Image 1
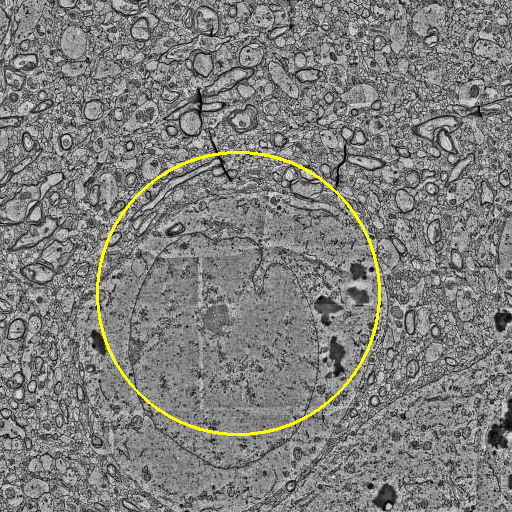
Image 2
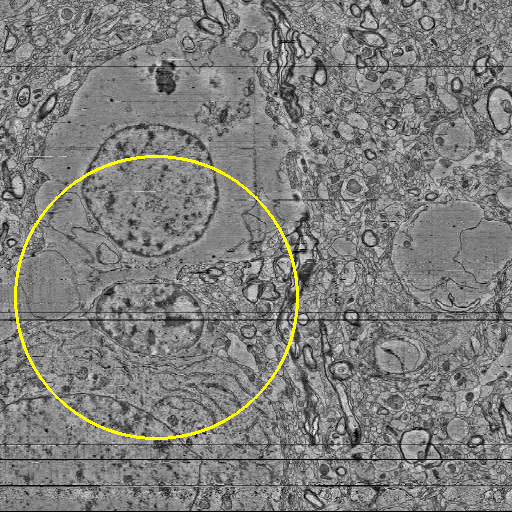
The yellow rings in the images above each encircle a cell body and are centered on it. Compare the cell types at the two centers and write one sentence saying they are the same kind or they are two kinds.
Taken together, the two cells at the ring centers are two kinds.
